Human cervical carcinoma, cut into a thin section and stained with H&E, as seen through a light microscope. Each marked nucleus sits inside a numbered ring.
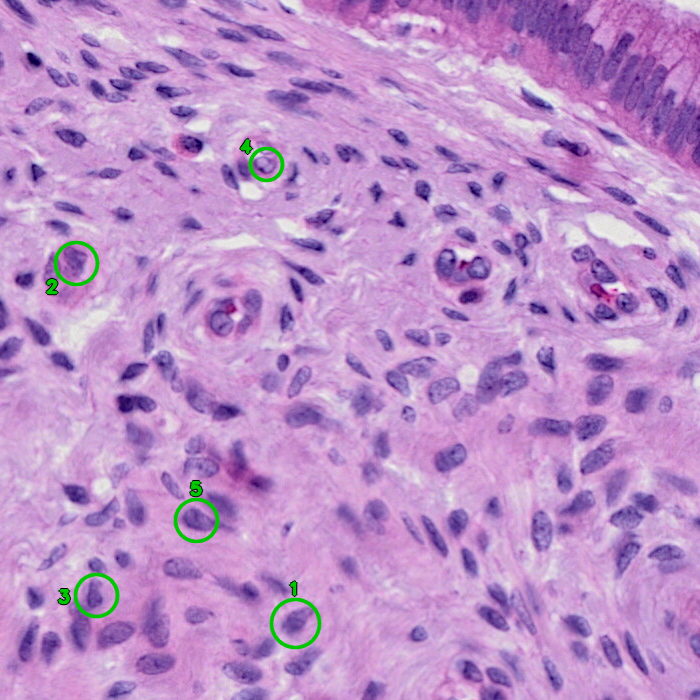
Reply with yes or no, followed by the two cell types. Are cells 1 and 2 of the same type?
No, cell 1 is a fibroblast and cell 2 is an endothelial cell.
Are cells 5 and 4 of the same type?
No, cell 5 is a fibroblast and cell 4 is an endothelial cell.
